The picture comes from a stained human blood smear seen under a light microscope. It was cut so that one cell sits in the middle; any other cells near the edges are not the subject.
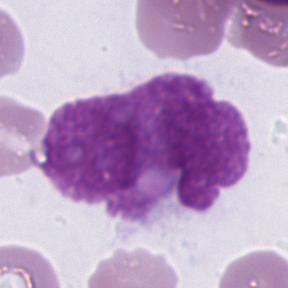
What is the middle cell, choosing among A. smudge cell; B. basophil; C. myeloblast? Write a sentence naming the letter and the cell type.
The centered cell is a smudge cell, which is why option A is right.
